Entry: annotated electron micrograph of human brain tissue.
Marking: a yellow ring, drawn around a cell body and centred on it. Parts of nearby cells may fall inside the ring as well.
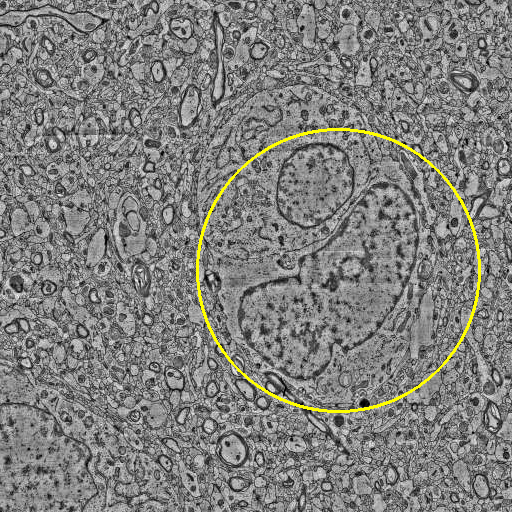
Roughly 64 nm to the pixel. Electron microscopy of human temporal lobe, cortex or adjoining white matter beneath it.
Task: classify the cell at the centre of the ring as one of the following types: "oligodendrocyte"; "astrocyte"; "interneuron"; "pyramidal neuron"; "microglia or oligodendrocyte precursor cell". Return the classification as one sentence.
The marked cell is classified as a microglial cell or oligodendrocyte precursor cell.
